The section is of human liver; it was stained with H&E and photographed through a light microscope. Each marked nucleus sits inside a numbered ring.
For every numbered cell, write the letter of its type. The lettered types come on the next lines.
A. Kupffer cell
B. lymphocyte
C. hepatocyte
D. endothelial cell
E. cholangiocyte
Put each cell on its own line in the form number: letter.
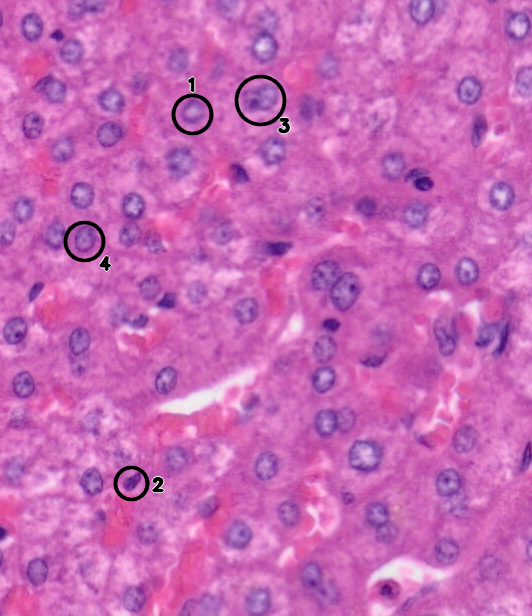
1: C
2: B
3: C
4: C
